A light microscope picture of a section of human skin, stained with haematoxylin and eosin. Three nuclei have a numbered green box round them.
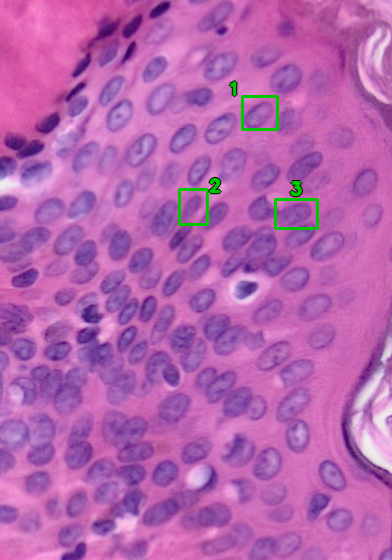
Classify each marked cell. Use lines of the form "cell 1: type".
cell 1: suprabasal keratinocyte
cell 2: basal keratinocyte
cell 3: suprabasal keratinocyte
